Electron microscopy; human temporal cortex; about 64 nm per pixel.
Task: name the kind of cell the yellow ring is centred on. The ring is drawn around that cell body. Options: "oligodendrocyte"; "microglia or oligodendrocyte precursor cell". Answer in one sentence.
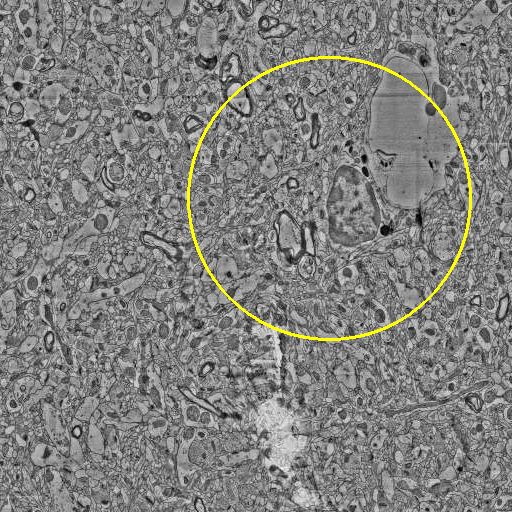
This cell body belongs to a microglial cell or oligodendrocyte precursor cell.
